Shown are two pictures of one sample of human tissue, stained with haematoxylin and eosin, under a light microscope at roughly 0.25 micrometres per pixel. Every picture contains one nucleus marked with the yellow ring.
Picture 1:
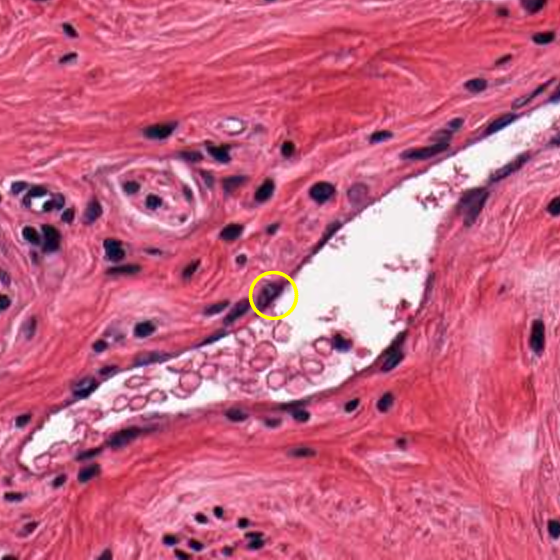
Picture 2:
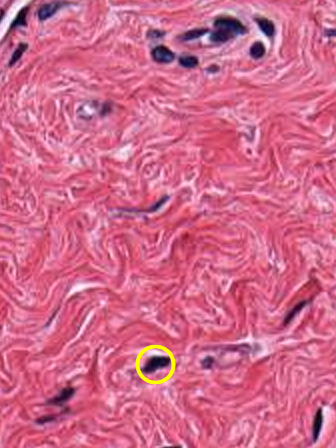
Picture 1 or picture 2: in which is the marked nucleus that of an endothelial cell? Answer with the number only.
1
